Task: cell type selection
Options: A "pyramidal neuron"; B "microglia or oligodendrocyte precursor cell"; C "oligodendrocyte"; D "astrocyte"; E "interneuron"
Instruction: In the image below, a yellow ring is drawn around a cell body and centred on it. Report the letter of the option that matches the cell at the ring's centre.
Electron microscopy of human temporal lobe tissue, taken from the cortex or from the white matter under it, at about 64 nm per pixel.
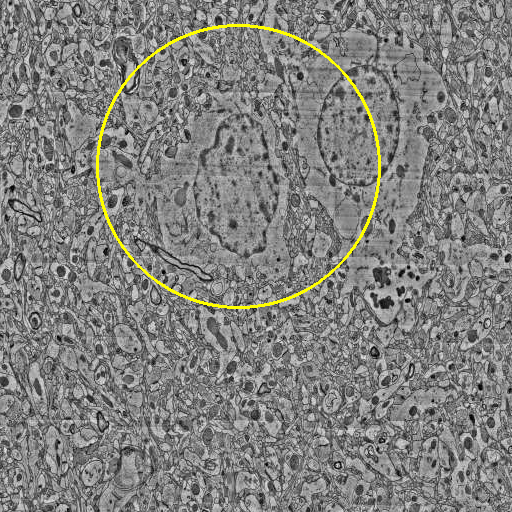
D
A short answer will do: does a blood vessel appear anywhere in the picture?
Yes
